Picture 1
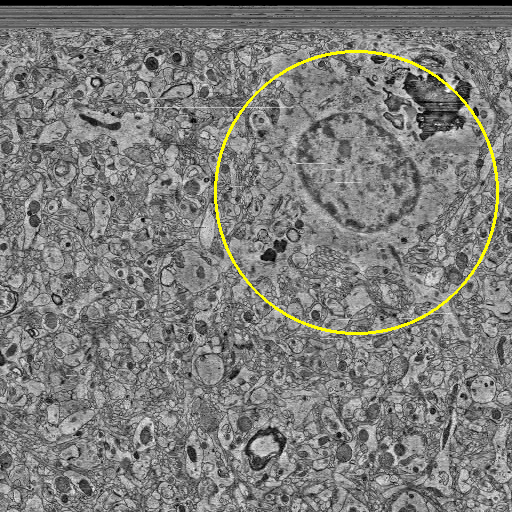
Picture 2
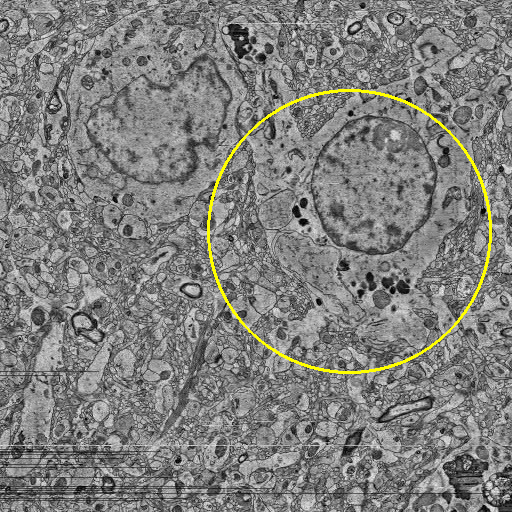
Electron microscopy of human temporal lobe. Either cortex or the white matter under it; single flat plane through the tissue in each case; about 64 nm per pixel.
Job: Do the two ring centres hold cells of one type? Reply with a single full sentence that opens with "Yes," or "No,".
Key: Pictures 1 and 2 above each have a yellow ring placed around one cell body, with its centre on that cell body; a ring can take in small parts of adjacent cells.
Yes, the cells at the two ring centres are of one single type.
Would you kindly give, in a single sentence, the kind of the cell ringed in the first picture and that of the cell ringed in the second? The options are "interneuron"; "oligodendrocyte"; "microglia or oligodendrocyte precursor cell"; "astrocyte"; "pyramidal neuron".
Both rings mark an astrocyte, one in each picture.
